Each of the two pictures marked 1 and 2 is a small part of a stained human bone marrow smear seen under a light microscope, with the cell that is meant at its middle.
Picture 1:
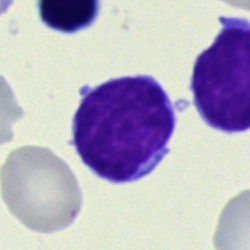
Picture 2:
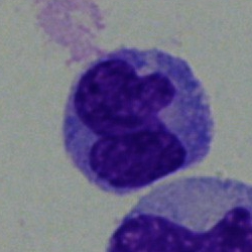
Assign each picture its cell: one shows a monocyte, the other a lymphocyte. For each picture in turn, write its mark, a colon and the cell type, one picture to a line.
1: lymphocyte
2: monocyte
